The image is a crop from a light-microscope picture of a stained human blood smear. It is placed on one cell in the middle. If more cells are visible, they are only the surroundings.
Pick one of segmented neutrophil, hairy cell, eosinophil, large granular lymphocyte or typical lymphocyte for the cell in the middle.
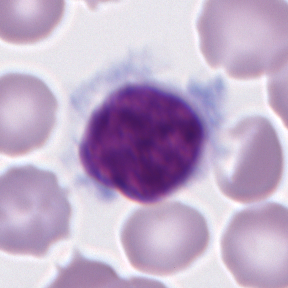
hairy cell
